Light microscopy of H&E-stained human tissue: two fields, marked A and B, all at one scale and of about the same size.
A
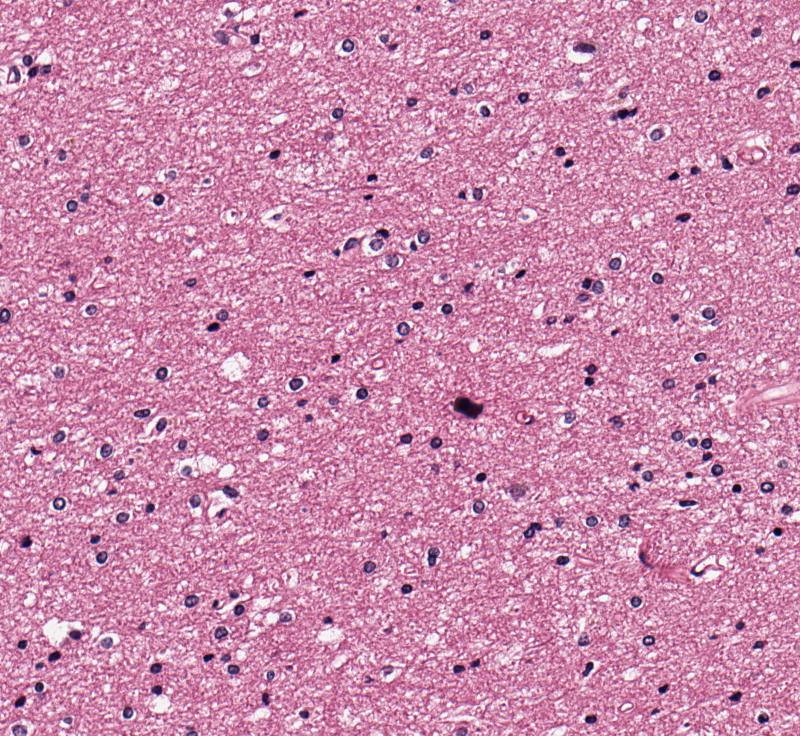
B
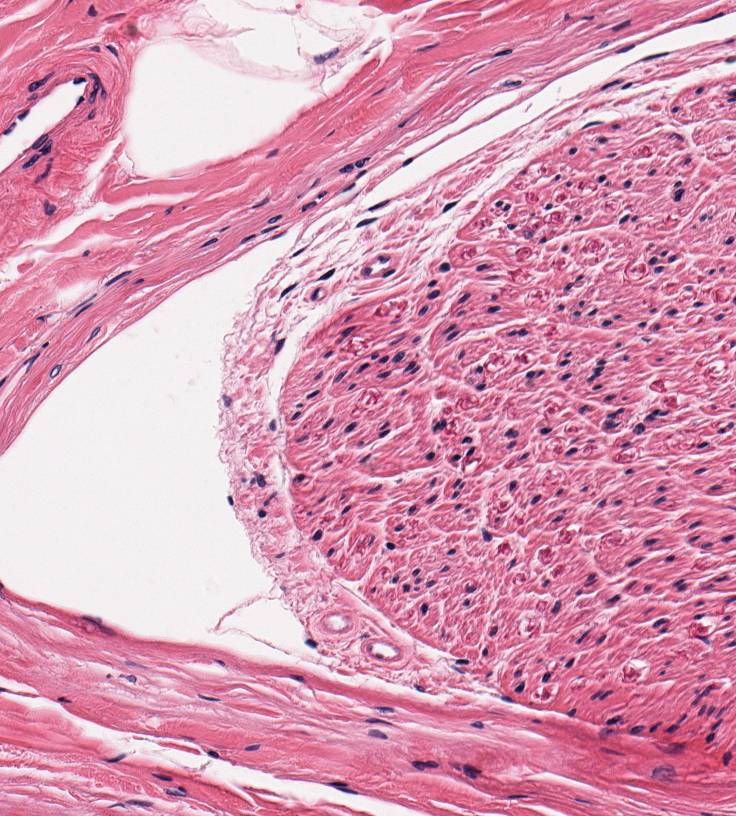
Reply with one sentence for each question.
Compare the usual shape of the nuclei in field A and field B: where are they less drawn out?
The nuclei are rounder in field A.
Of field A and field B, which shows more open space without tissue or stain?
More of field B is empty and white.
